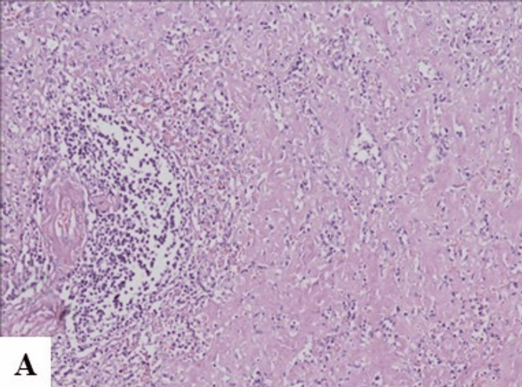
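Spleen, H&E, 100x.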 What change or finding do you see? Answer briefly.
amyloid deposition within the sinusoids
